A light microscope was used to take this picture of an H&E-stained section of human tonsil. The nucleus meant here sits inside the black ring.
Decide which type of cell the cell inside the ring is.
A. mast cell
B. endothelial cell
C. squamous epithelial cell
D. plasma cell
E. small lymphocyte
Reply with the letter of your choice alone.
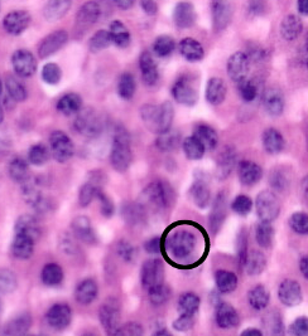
D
